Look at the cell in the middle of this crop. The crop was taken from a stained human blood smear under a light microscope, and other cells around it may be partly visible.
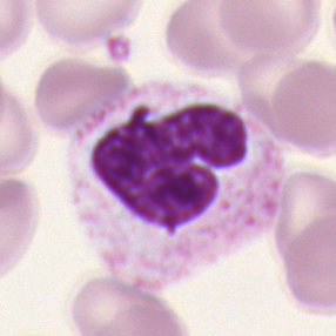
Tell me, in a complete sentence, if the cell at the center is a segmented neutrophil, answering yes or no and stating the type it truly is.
Yes, the cell sitting in the middle of this smear crop is a segmented neutrophil.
